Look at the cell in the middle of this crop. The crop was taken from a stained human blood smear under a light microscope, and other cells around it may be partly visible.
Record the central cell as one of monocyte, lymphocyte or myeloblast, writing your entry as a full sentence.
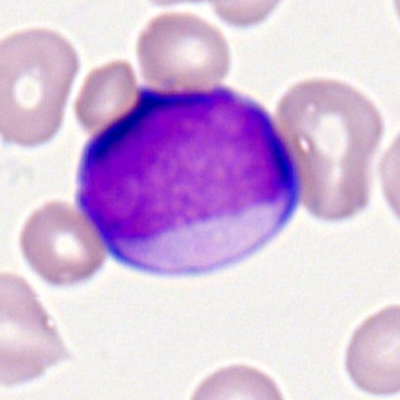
In short, the cell at the center is a myeloblast.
